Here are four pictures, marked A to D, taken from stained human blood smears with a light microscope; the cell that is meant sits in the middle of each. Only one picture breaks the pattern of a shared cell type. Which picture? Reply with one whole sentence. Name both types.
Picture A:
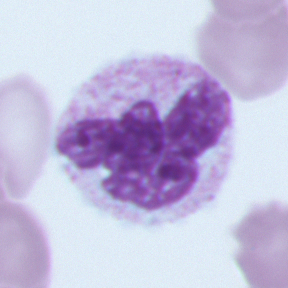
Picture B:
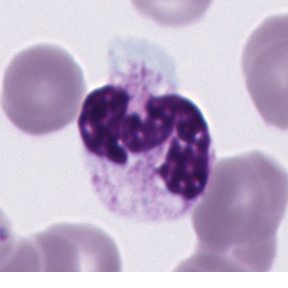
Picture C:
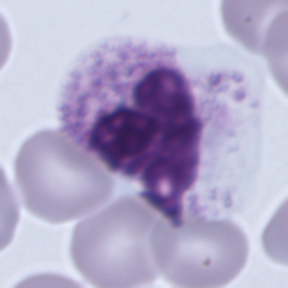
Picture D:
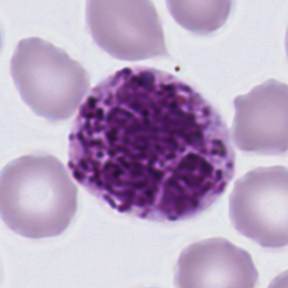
The others show segmented neutrophils, but picture D shows a basophil.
